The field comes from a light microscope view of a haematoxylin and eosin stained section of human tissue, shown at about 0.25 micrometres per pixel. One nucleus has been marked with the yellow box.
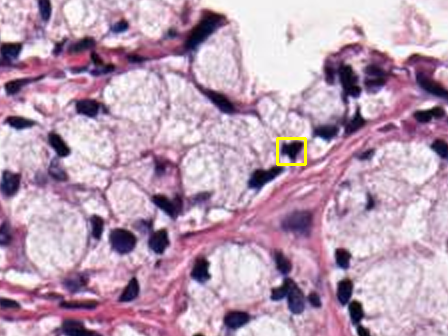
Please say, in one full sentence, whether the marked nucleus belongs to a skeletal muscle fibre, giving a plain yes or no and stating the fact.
No, the cell whose nucleus is marked is a mucous gland cell, not a skeletal muscle fibre.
